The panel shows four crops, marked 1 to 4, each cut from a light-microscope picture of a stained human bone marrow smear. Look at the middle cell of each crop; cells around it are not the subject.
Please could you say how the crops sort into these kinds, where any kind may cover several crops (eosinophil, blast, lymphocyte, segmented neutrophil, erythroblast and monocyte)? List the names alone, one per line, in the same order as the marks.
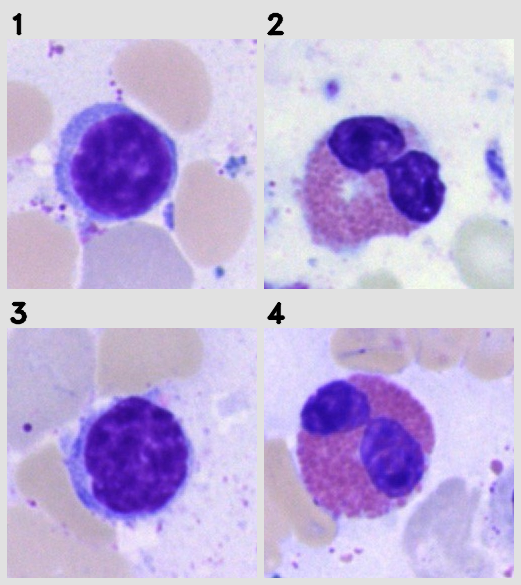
lymphocyte
eosinophil
lymphocyte
eosinophil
